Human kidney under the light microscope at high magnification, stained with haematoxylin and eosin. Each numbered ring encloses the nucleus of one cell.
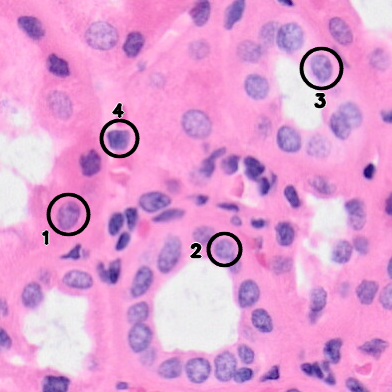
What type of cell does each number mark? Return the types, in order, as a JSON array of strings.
["proximal tubule cell", "collecting duct cell", "collecting duct cell", "endothelial cell"]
